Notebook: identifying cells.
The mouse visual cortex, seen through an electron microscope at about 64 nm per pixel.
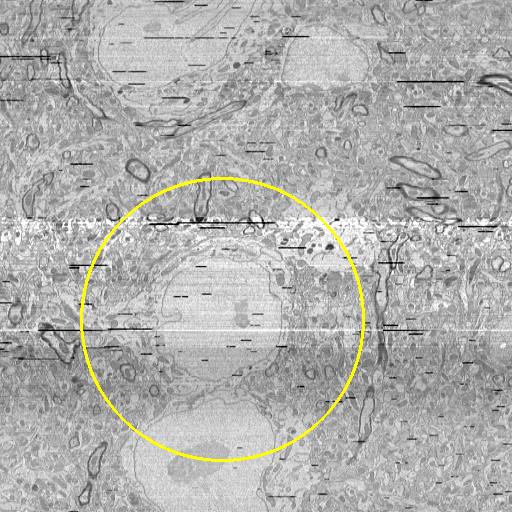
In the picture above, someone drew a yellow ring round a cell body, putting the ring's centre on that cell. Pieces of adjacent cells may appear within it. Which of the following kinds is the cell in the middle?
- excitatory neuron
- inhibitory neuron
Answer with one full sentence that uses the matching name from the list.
In this picture, the yellow ring is centred on the body of an excitatory neuron.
